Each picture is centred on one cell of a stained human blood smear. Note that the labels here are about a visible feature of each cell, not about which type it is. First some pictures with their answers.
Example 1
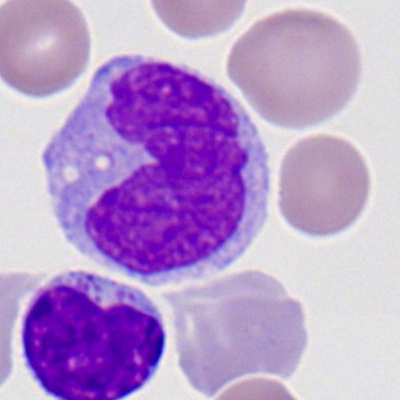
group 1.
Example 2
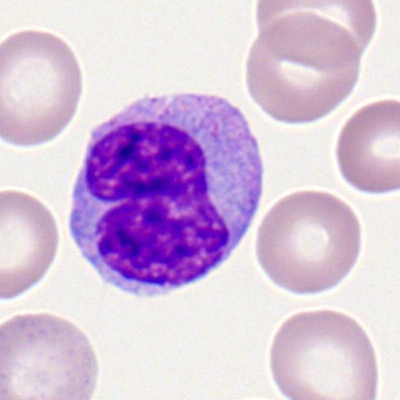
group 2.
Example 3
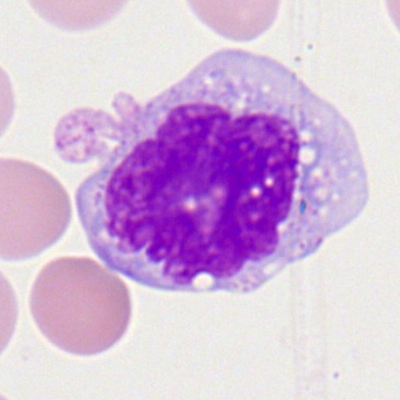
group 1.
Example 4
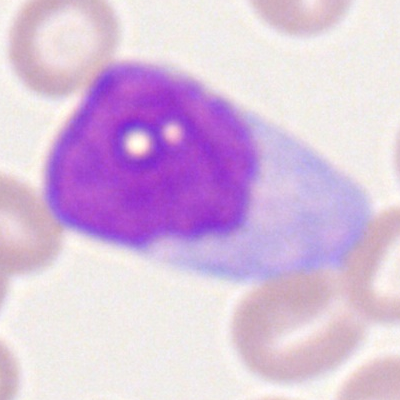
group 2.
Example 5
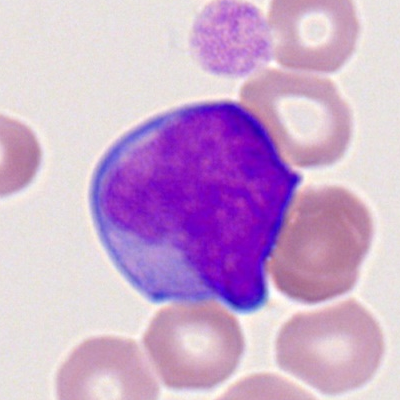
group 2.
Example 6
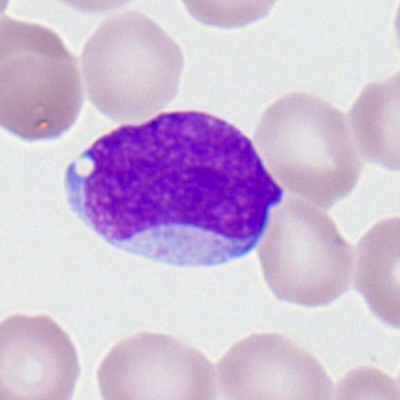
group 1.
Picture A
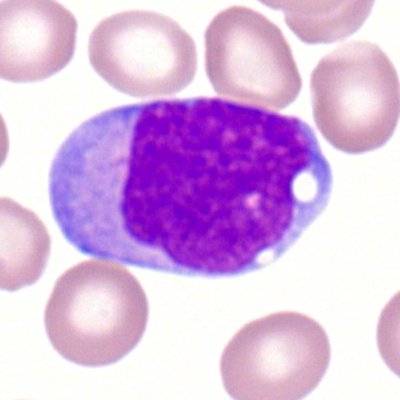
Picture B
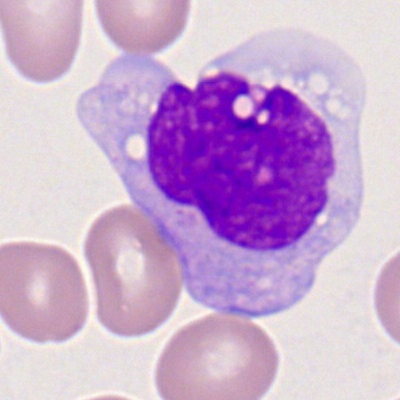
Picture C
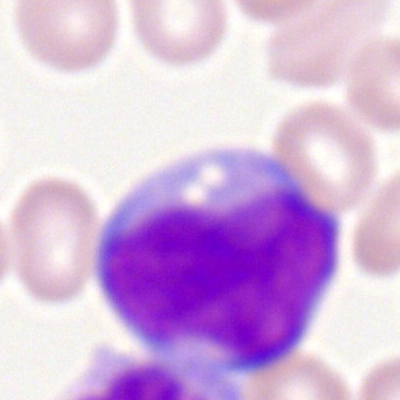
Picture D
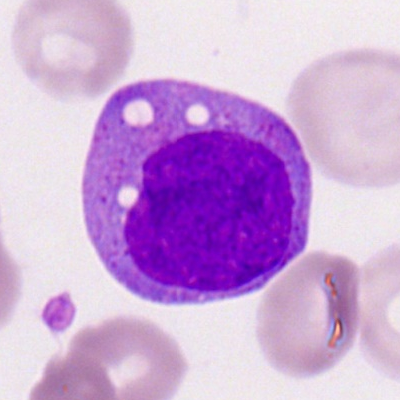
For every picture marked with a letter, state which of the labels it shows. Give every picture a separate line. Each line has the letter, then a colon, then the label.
A: group 1.
B: group 1.
C: group 1.
D: group 1.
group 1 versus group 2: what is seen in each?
group 1, vacuoles present; group 2, no vacuoles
